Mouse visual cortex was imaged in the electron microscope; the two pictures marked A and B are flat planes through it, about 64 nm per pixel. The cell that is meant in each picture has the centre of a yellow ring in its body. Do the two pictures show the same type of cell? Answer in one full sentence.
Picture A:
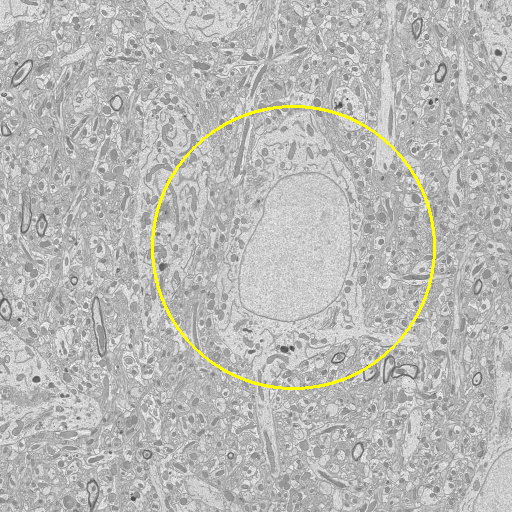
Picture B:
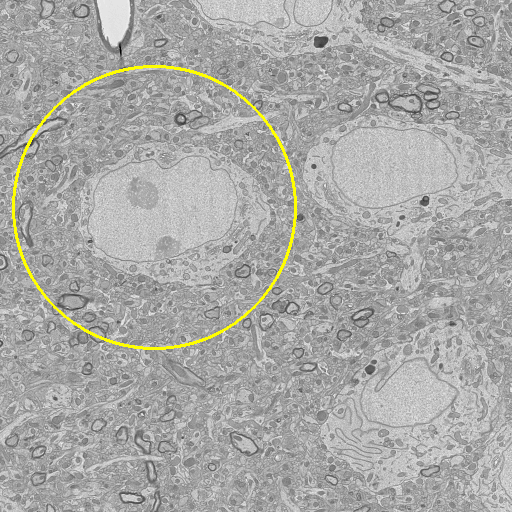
Yes, both are excitatory neurons.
